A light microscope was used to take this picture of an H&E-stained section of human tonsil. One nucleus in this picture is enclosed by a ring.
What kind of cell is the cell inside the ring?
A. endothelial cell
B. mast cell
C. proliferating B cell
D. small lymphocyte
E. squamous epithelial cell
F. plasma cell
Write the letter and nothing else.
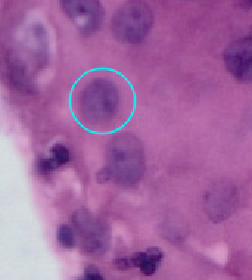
E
